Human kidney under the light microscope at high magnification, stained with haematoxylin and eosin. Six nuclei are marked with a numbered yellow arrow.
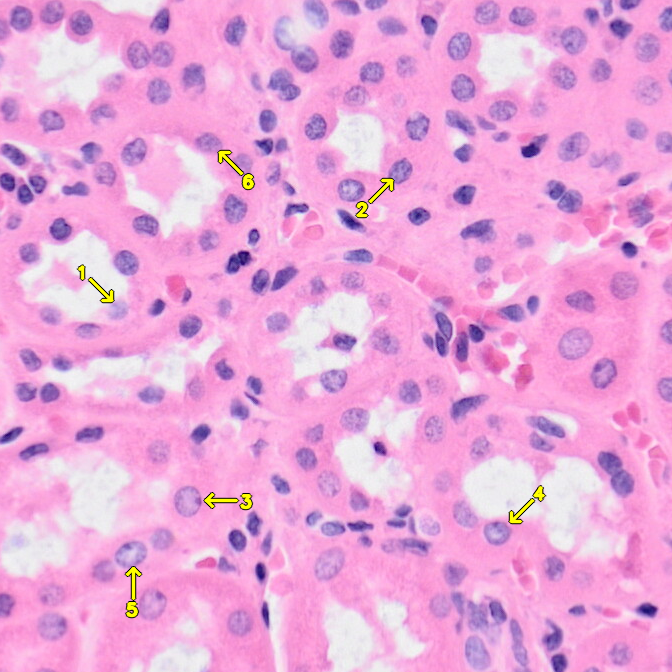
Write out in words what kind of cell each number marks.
Cell 1 is a loop of Henle or distal tubule cell, cell 2 is a loop of Henle or distal tubule cell, cell 3 is a proximal tubule cell, cell 4 is a loop of Henle or distal tubule cell, cell 5 is a proximal tubule cell and cell 6 is a loop of Henle or distal tubule cell.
